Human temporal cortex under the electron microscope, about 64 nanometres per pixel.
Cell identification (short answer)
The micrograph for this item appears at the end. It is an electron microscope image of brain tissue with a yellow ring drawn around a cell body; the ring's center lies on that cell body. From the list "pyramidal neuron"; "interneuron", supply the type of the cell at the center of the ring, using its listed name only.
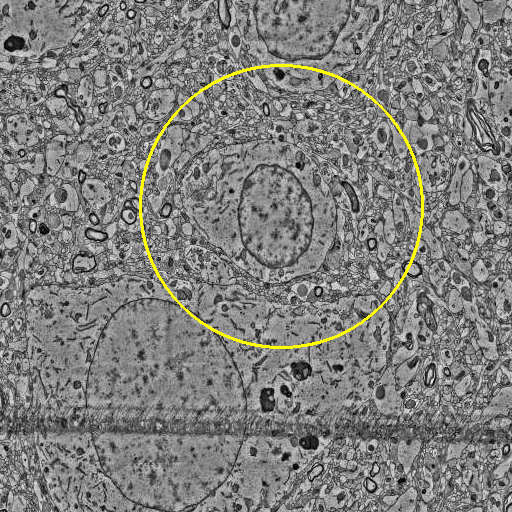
pyramidal neuron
